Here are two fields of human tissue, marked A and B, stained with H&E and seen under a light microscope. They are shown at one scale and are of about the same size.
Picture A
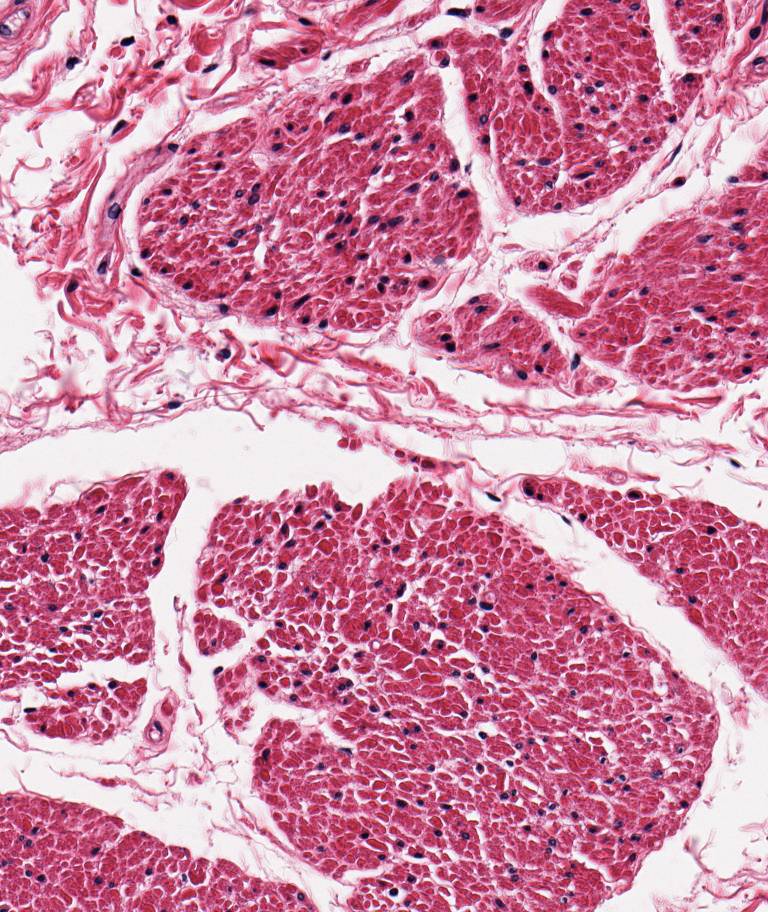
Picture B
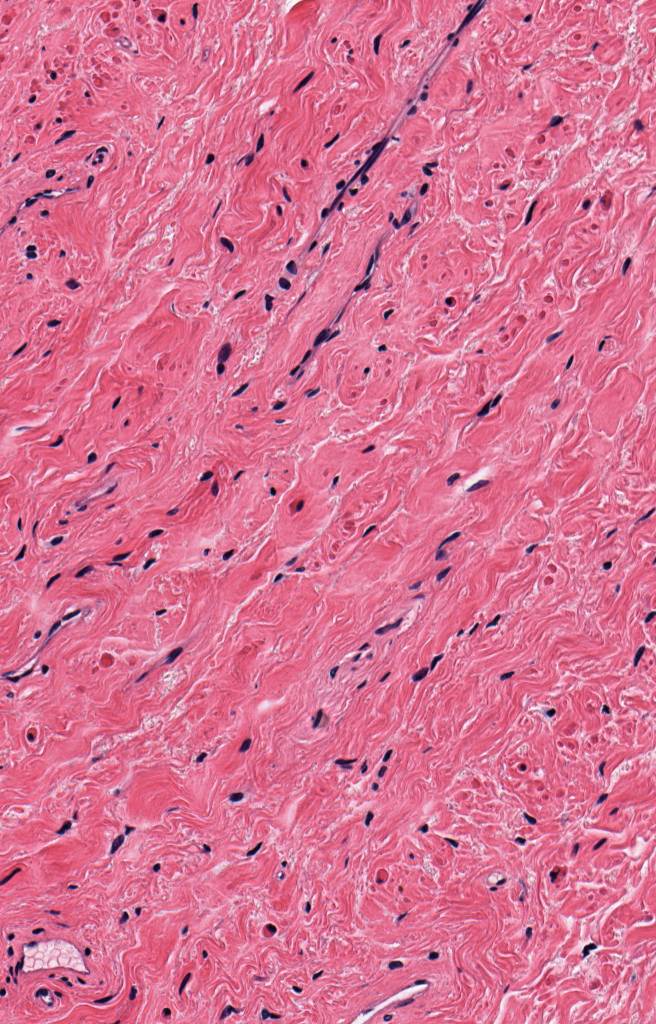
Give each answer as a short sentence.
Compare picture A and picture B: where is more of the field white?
It is picture A in which white space covers the larger part.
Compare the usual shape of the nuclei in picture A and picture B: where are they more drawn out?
The nuclei are more elongated in picture B.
